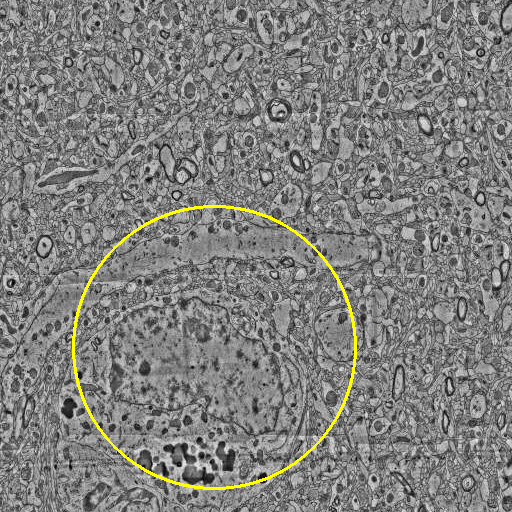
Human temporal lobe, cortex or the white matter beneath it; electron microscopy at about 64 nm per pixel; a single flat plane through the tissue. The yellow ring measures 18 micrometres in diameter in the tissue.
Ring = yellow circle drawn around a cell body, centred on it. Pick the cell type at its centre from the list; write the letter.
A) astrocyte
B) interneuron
B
